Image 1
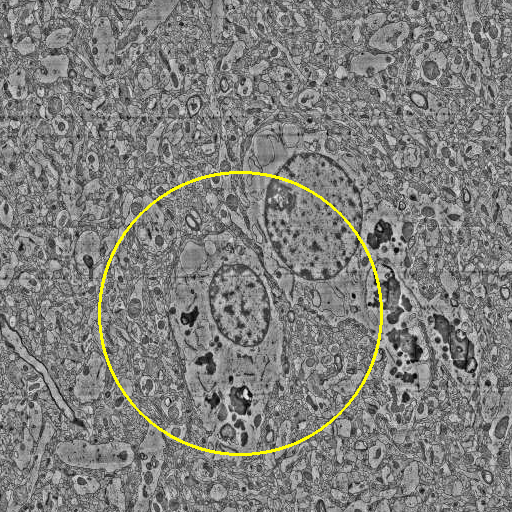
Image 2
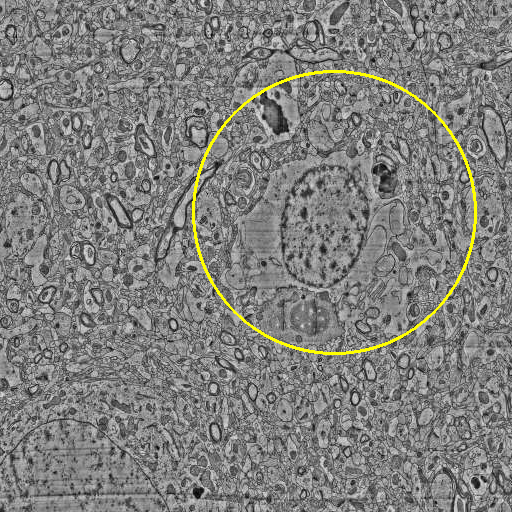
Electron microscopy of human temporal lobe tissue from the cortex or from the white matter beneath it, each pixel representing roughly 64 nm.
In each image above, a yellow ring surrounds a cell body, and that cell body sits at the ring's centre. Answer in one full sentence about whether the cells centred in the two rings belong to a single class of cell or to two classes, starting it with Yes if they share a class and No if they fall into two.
Yes, the cells centred in the two yellow rings belong to a single class of cell.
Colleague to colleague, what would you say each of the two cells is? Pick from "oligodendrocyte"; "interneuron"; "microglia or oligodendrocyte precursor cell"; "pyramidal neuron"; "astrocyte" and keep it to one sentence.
The second cell is an astrocyte, just as the first is.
